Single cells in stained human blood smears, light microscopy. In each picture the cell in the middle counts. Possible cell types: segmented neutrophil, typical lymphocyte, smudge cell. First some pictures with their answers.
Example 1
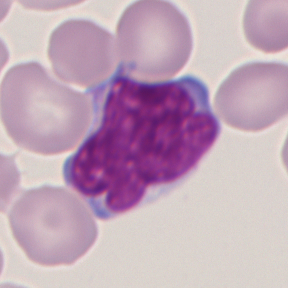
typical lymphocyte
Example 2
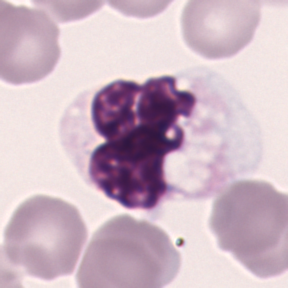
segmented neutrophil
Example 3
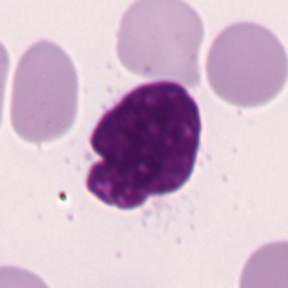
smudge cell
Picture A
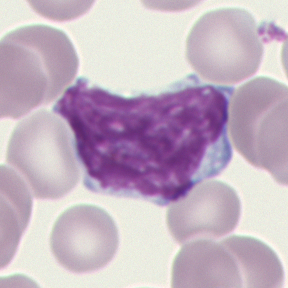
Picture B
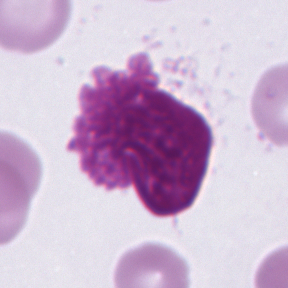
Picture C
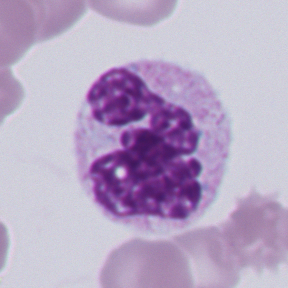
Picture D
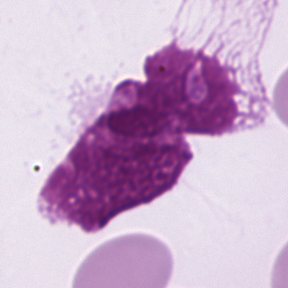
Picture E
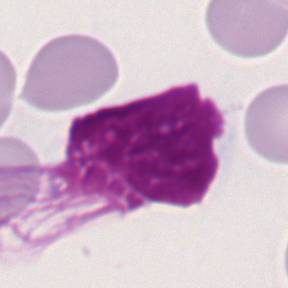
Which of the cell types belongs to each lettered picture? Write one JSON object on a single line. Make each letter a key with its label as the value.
{"A": "typical lymphocyte", "B": "smudge cell", "C": "segmented neutrophil", "D": "smudge cell", "E": "smudge cell"}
